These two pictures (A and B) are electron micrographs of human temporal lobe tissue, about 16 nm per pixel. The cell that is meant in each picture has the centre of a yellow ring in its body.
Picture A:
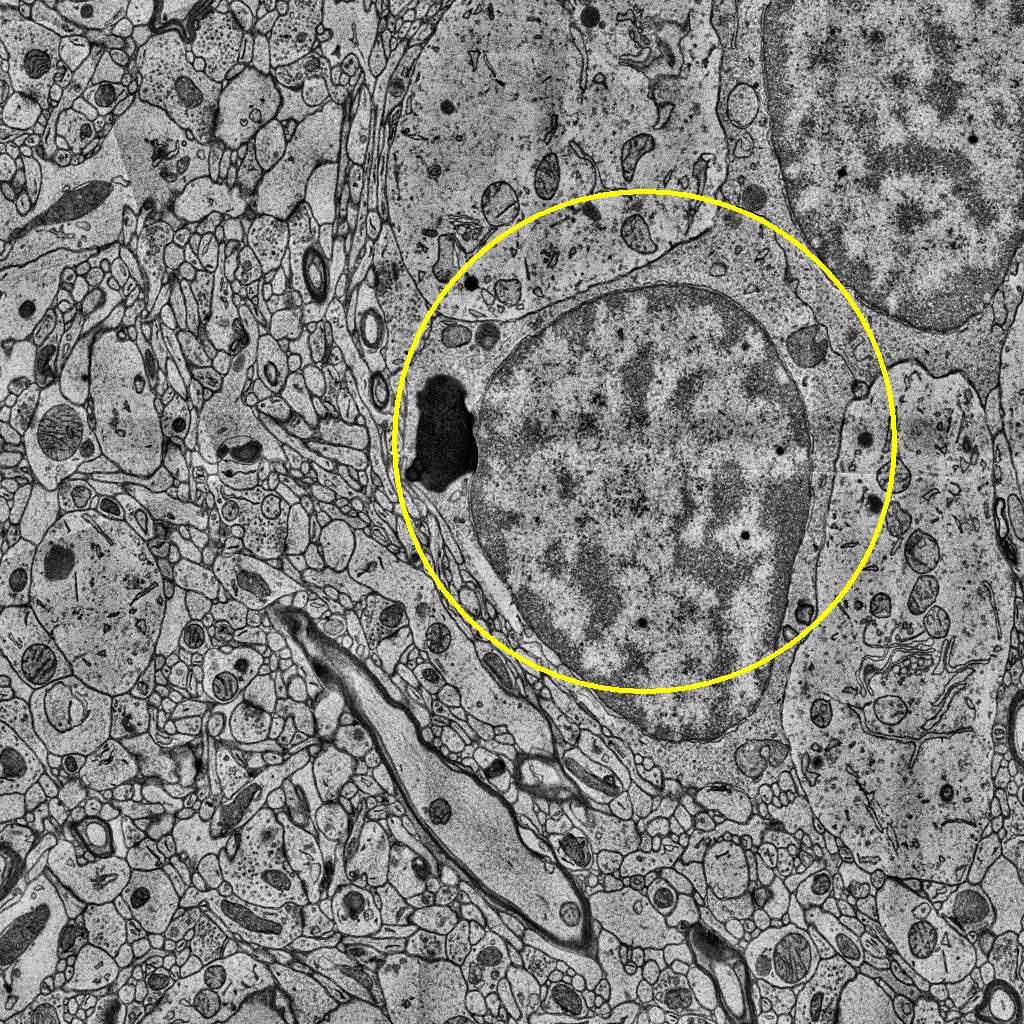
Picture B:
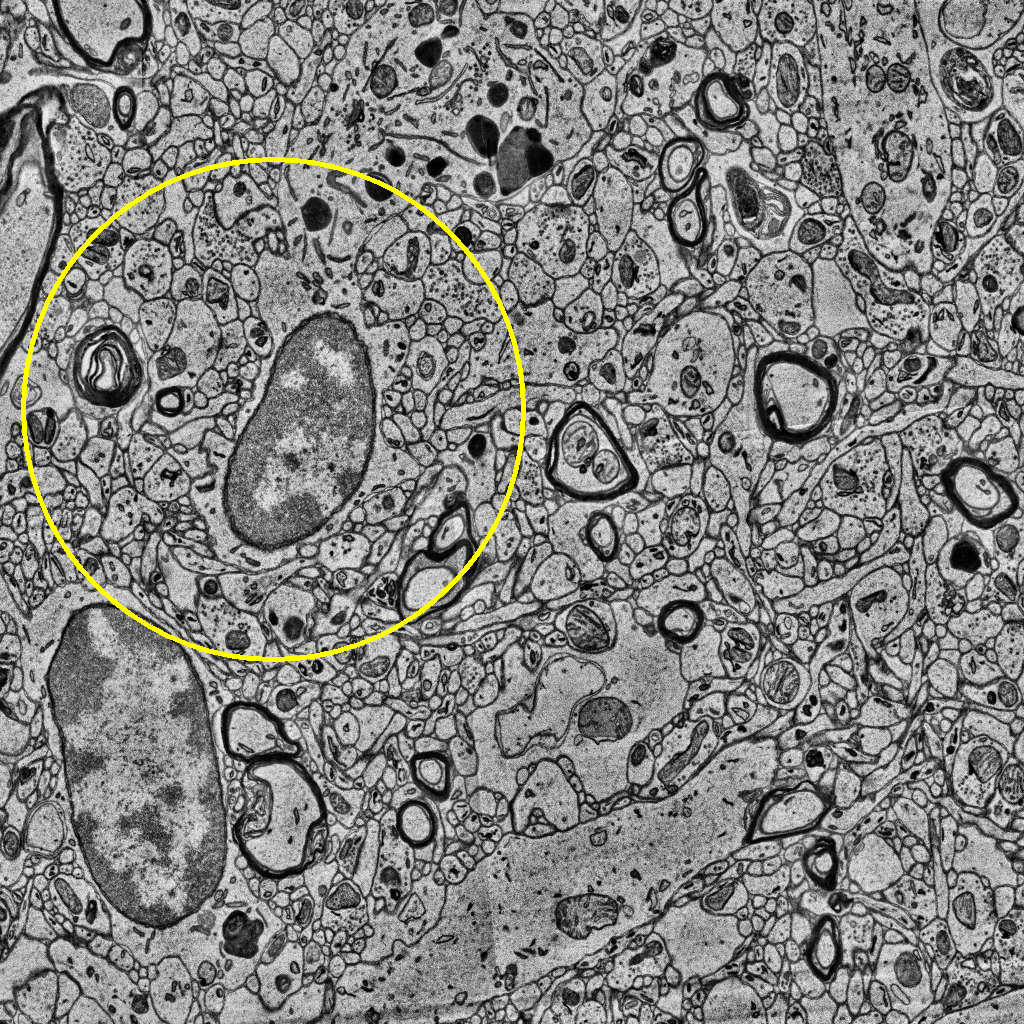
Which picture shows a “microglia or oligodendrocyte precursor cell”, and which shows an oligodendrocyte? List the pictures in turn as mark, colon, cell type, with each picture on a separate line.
A: oligodendrocyte
B: microglia or oligodendrocyte precursor cell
